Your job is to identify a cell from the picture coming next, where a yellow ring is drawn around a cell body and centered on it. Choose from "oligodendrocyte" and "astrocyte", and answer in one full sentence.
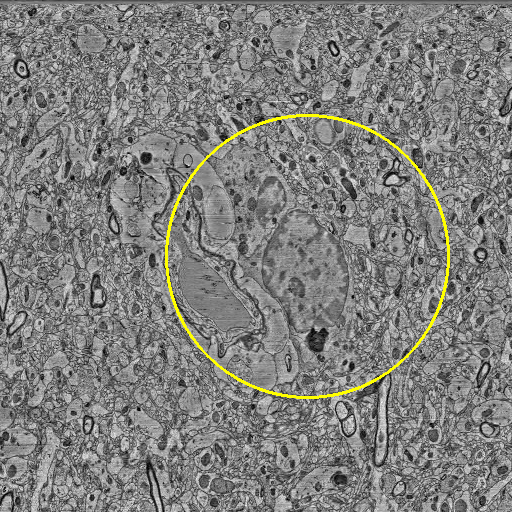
Centered in the yellow ring of the picture is the body of an oligodendrocyte.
